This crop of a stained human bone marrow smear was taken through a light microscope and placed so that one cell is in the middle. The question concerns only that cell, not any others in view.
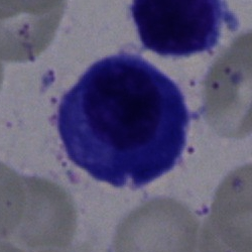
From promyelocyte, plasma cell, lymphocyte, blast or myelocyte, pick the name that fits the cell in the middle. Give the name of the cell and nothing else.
plasma cell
